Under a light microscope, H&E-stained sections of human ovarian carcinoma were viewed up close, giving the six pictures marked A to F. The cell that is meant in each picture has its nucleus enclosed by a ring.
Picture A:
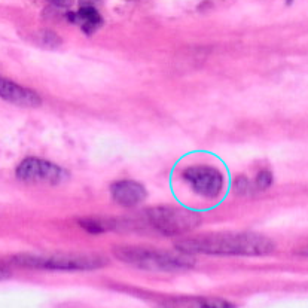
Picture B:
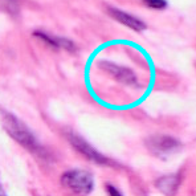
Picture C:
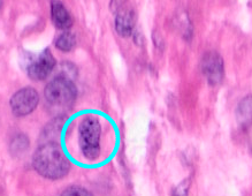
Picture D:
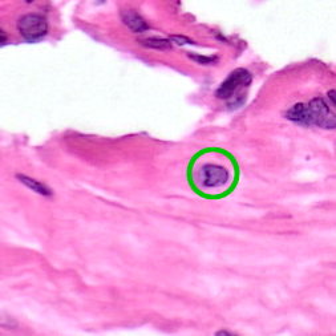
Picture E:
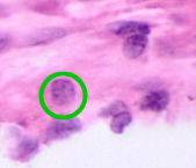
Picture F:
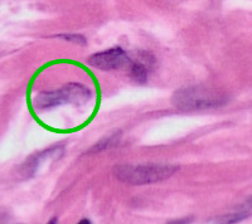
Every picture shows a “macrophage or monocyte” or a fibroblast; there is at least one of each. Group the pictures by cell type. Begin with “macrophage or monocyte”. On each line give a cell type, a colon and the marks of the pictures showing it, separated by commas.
macrophage or monocyte: A, C, D, E
fibroblast: B, F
